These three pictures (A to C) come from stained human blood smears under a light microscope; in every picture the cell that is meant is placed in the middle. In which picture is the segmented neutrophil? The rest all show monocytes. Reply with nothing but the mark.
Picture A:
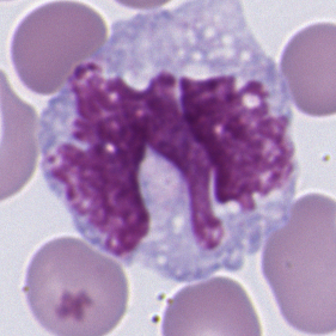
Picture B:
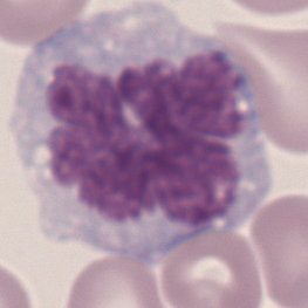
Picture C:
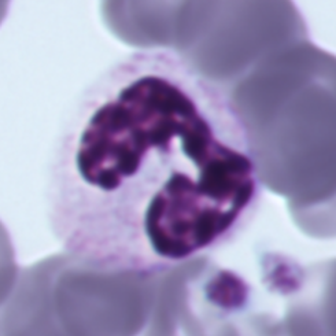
C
